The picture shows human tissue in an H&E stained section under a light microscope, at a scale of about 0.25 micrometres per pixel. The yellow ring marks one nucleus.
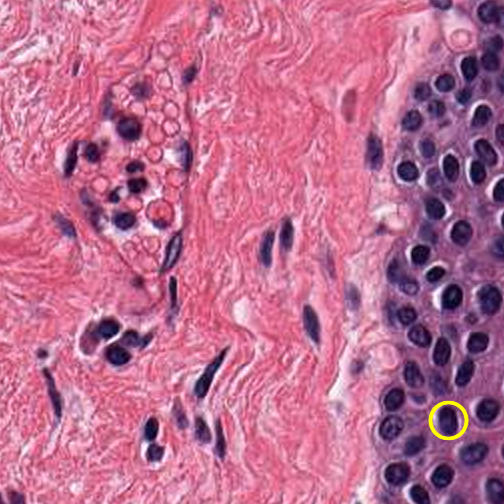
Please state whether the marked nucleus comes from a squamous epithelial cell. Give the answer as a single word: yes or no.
yes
